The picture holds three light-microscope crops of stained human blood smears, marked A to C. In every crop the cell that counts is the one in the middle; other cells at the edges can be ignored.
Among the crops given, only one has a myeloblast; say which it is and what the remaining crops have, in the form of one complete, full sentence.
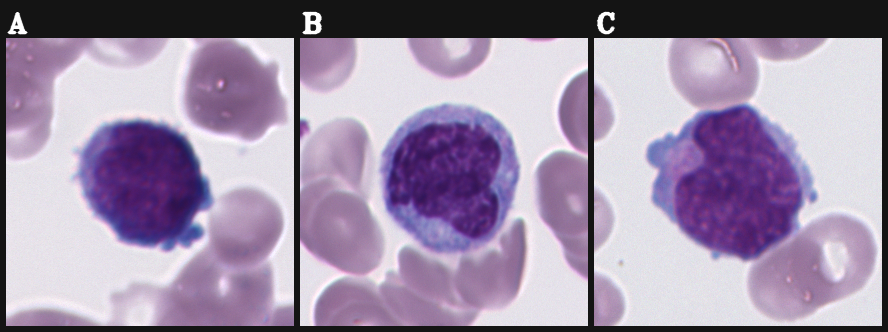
The cell sitting in crop A is a myeloblast, while crop B is a monocyte and crop C is an atypical promyelocyte.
